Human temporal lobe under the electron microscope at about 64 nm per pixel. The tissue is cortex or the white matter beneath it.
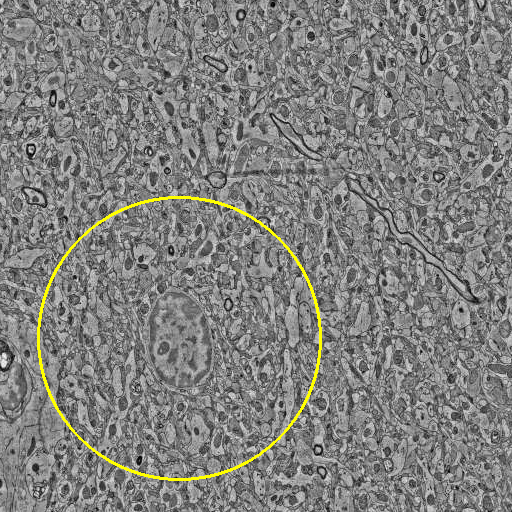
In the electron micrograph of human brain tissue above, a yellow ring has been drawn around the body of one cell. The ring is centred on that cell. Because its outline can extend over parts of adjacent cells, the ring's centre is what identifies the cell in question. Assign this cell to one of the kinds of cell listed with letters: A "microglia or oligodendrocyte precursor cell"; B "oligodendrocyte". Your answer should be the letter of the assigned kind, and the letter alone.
B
